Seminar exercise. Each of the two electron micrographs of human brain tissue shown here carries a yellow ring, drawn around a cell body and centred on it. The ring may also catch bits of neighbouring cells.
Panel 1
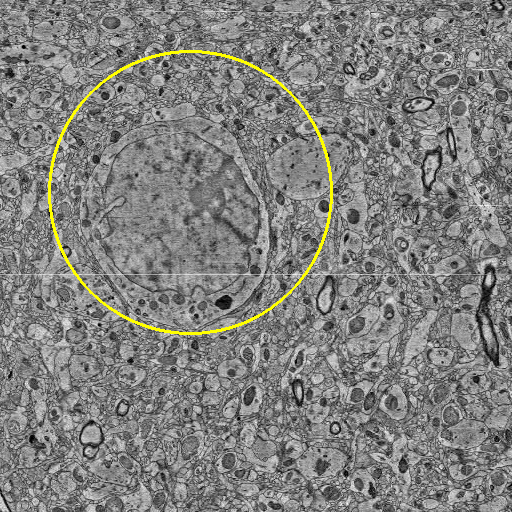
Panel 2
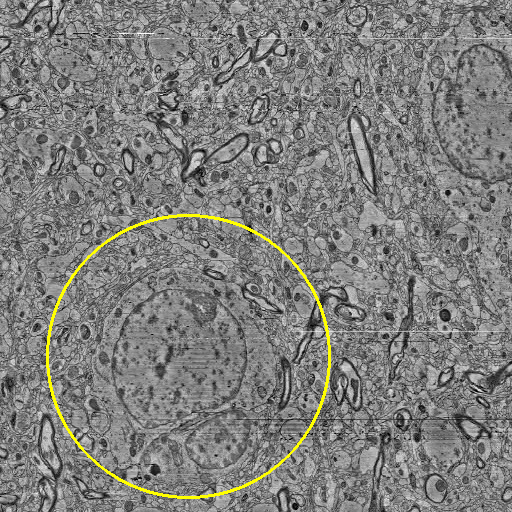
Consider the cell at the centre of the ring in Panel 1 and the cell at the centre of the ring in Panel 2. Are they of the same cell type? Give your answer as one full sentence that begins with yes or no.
Yes, both cells are of the same type.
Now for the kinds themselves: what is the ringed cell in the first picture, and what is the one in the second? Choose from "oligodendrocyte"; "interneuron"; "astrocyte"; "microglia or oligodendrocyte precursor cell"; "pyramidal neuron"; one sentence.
The cell in the first picture is an interneuron, and so is the one in the second.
